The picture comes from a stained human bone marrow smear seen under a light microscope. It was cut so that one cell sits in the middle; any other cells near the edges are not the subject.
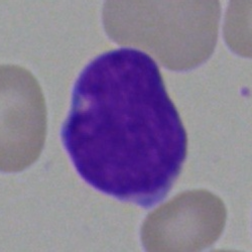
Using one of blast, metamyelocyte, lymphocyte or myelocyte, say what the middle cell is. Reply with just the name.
blast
